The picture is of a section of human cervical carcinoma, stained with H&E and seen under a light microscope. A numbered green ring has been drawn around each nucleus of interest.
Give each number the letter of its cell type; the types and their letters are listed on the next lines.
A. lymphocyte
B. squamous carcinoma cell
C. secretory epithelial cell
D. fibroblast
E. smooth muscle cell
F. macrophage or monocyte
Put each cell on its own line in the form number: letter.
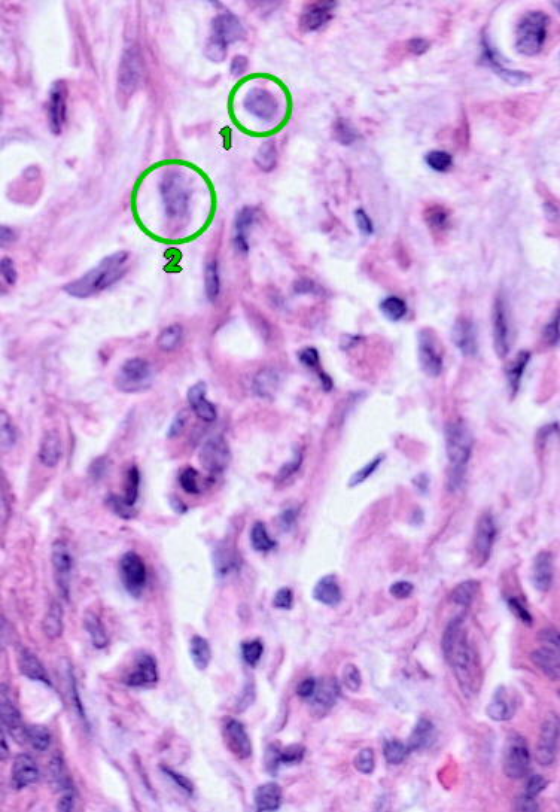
1: F
2: D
